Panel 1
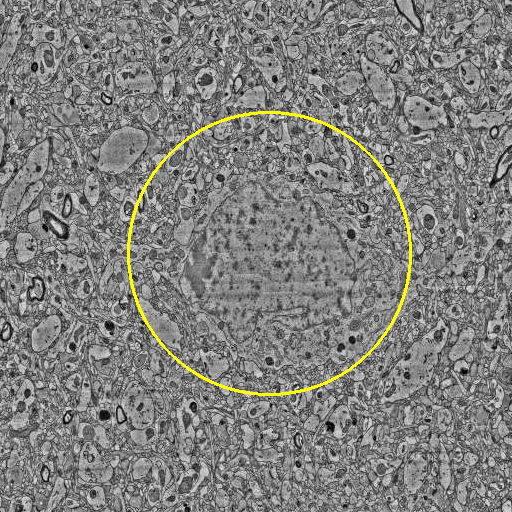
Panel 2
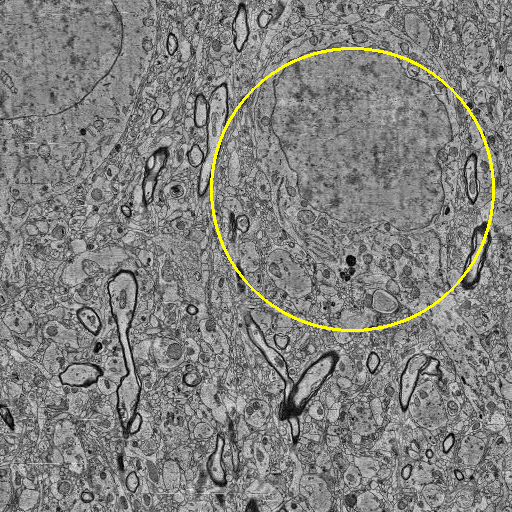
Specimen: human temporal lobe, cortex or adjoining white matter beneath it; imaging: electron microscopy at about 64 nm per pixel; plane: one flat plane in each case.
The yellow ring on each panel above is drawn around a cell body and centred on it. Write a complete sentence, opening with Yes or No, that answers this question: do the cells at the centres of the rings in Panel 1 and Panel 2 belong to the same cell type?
Yes, both cells belong to the same cell type.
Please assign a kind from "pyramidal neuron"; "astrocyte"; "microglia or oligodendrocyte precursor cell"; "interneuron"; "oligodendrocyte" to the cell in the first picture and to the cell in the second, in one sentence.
Each one of the two ringed cells is an interneuron.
